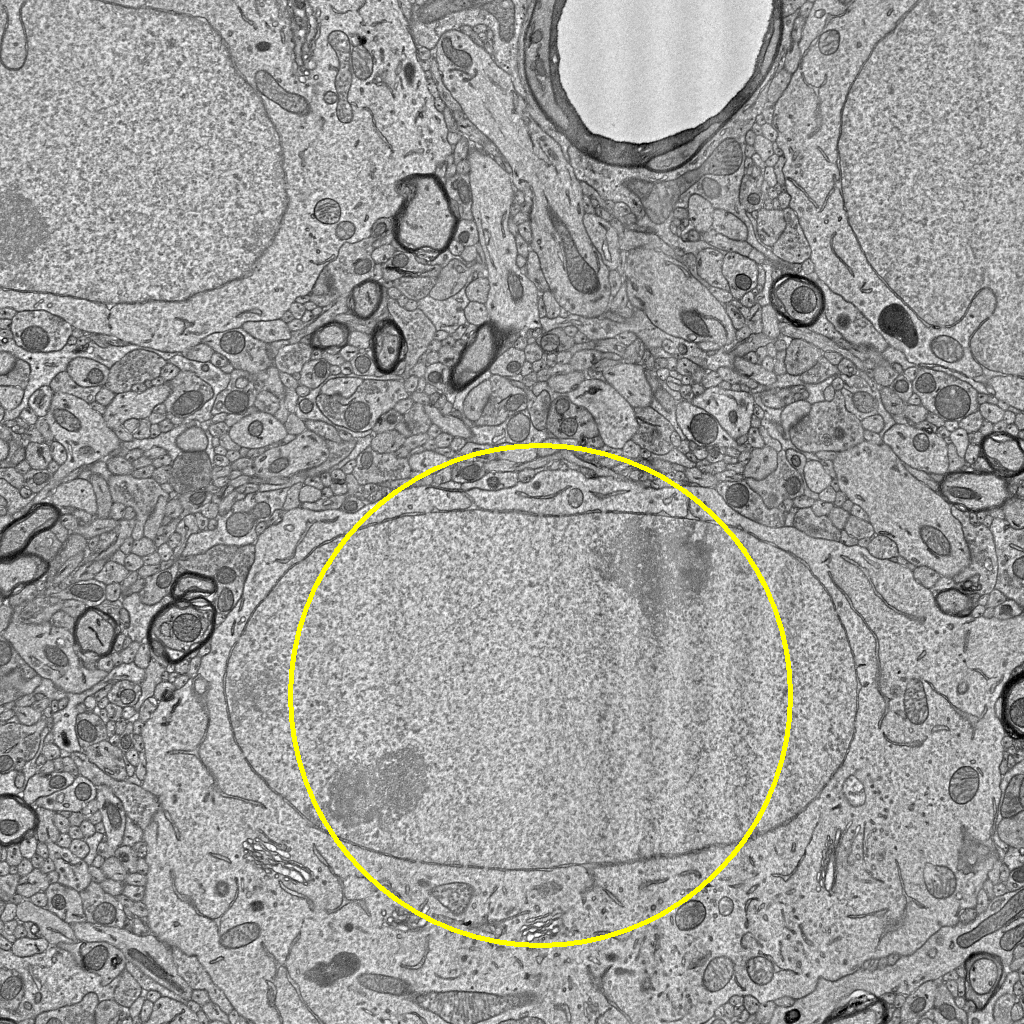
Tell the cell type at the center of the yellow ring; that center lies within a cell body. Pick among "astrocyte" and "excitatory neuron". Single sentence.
The ring's center lies in the body of an excitatory neuron.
